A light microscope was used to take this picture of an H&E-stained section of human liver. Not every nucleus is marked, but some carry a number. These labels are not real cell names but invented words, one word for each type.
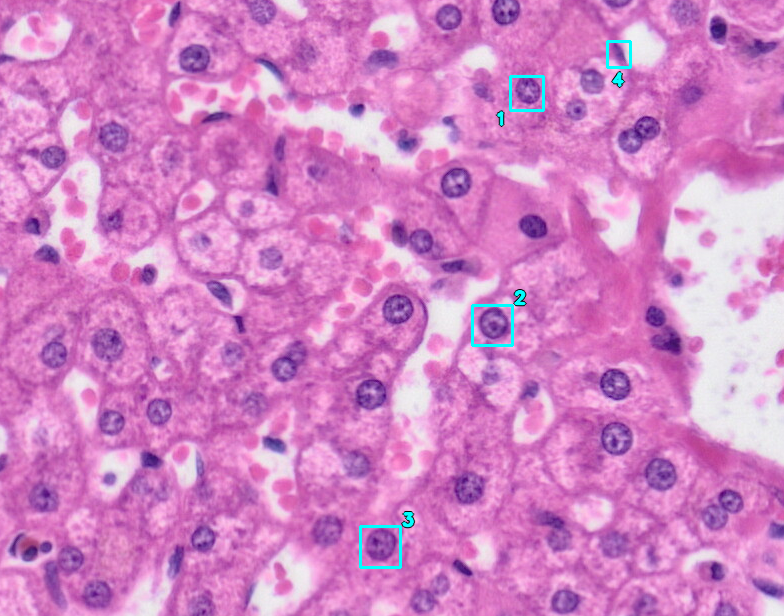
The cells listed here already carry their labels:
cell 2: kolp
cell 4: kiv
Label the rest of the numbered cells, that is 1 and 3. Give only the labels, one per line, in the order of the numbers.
kolp
kolp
